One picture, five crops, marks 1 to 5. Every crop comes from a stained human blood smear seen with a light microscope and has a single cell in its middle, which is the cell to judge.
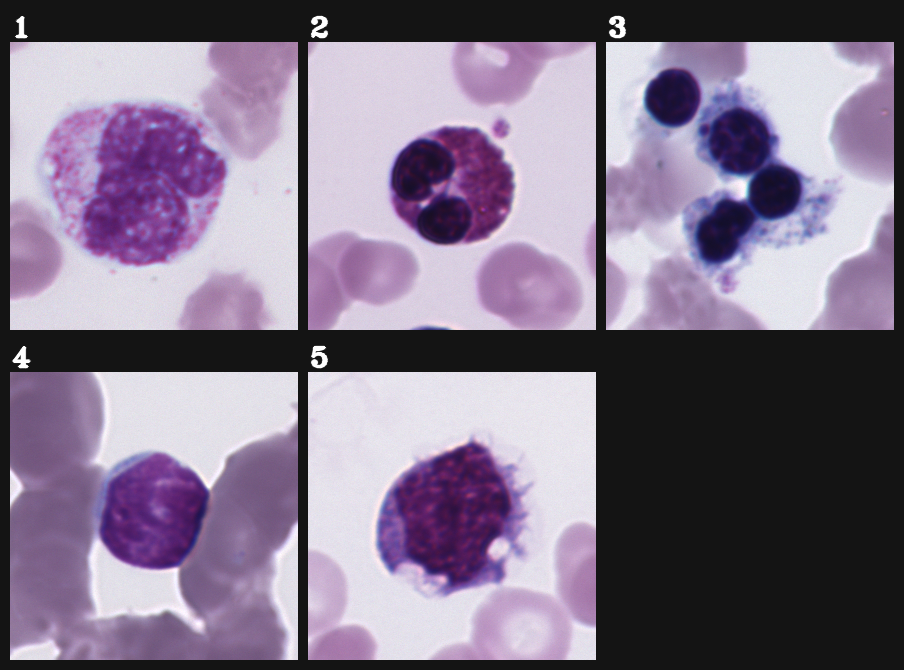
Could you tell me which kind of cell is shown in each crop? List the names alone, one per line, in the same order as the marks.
band neutrophil
eosinophil
normoblast
typical lymphocyte
monocyte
